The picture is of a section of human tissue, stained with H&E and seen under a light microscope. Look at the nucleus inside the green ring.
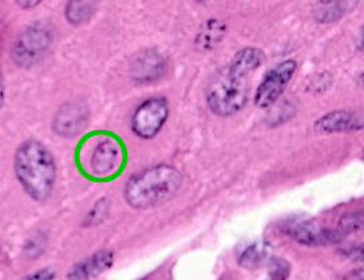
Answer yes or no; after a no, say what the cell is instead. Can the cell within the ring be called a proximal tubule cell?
No, it is a squamous carcinoma cell.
